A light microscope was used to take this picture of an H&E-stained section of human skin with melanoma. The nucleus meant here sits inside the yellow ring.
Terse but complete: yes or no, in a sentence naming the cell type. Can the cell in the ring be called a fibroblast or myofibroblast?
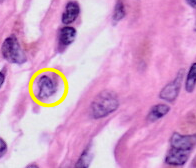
No, not a fibroblast or myofibroblast: the cell in the ring is a macrophage or monocyte.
